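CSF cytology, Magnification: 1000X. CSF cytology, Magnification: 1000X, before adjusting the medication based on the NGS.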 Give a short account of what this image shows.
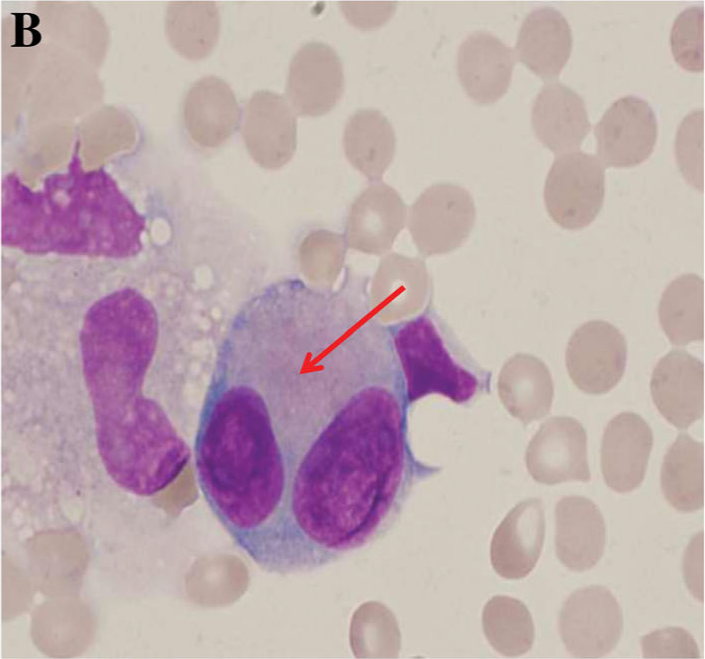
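The tumor cell is round to oval and several times the diameter of a red blood cell. It holds two large oval, dark purple nuclei lying side by side. Its abundant cytoplasm is pale lilac in the centre and deep blue at the rim. Nearby lie cells with irregular, folded, dark purple nuclei. To the left is a cell with a broad, foamy, vacuolated cytoplasm. Scattered pale pink, round red blood cells fill the background.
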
